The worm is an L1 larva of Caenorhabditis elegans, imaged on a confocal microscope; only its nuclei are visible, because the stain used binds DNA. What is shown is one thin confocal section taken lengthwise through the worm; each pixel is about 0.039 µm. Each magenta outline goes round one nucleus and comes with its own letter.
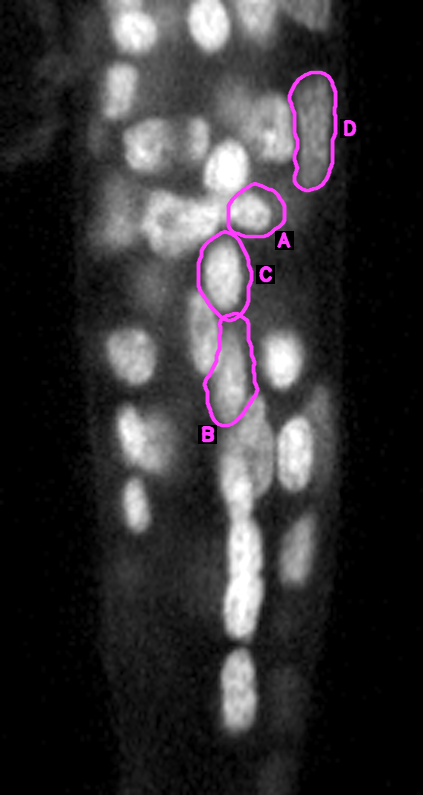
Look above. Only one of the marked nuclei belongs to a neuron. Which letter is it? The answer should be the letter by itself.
C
